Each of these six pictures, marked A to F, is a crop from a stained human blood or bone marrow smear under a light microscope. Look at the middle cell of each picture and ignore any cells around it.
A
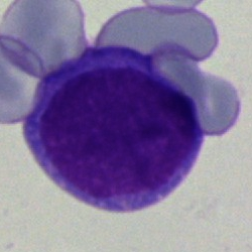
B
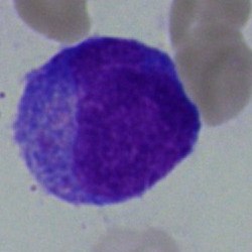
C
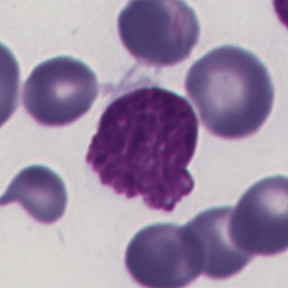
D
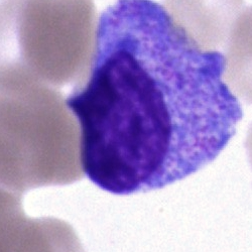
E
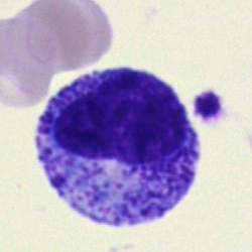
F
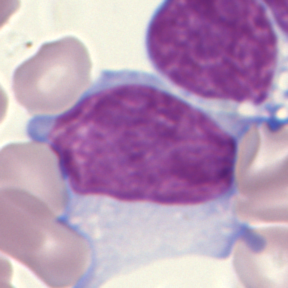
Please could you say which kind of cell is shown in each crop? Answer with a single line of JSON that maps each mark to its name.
{"A": "blast", "B": "promyelocyte", "C": "blast", "D": "promyelocyte", "E": "promyelocyte", "F": "blast"}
